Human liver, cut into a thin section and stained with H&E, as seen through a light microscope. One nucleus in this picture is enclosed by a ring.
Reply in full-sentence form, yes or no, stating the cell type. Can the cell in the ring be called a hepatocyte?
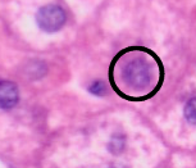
Yes, put very simply, the cell in the ring is a hepatocyte.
